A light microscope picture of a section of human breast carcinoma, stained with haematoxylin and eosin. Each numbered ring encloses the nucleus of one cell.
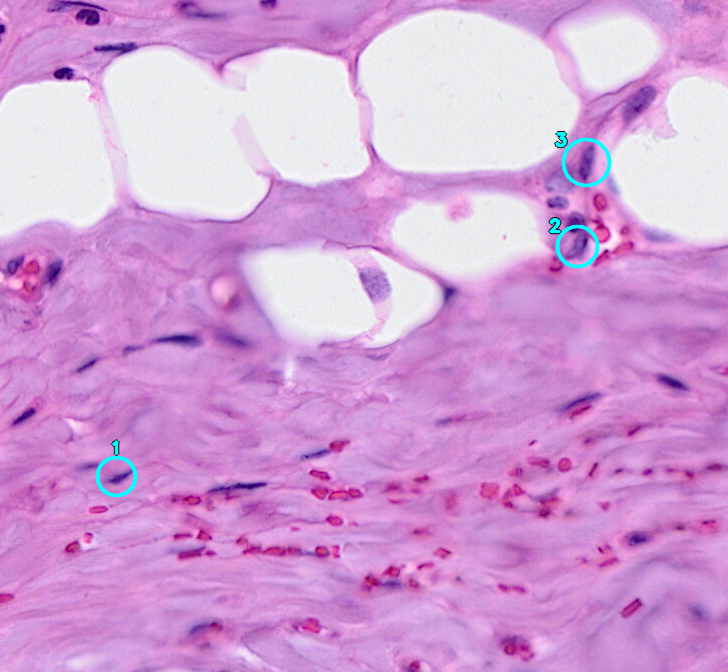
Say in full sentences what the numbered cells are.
Cell 1 is a fibroblast. Cells 2 and 3 are endothelial cells.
